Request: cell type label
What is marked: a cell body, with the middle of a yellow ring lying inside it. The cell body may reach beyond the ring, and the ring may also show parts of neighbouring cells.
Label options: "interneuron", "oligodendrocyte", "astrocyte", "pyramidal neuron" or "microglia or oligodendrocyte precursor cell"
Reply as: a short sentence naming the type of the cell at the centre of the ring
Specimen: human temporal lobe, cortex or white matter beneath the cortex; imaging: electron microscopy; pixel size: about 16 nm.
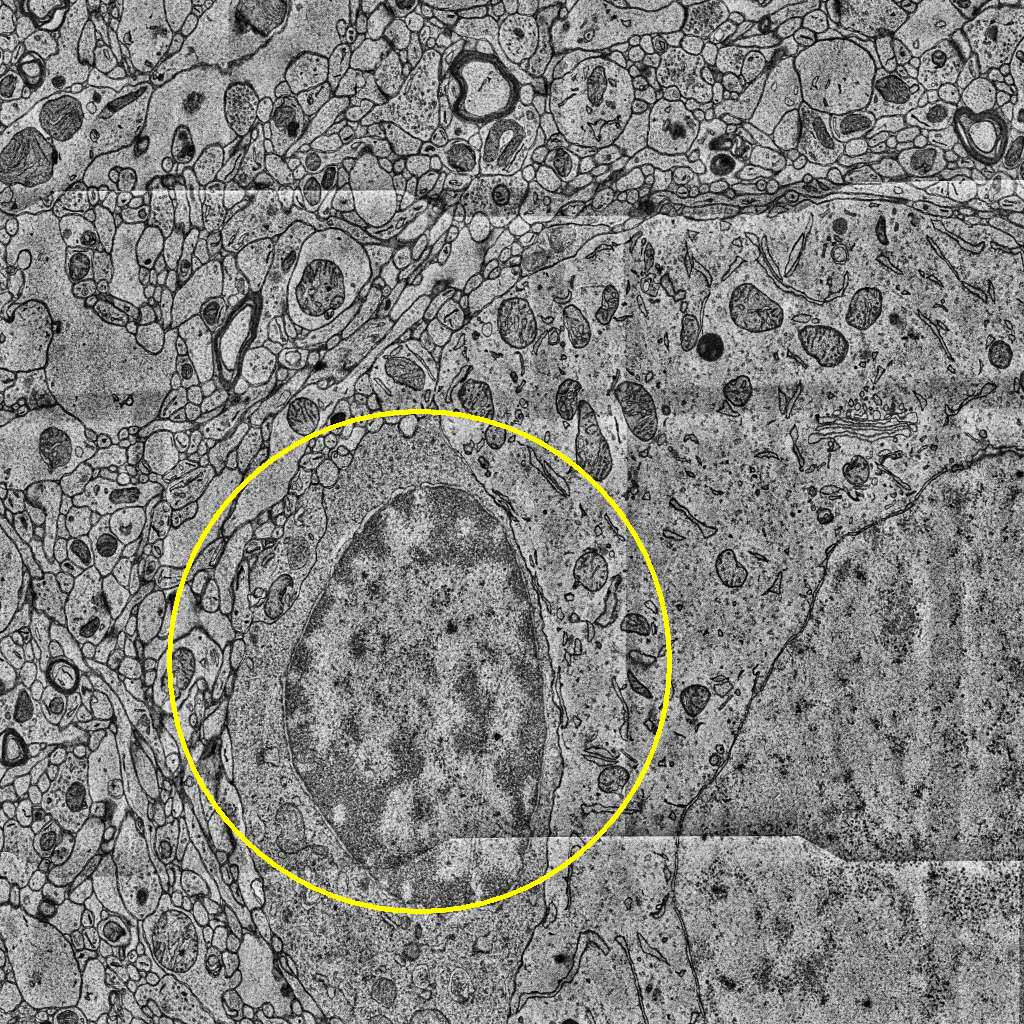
The marked cell body is that of an oligodendrocyte.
